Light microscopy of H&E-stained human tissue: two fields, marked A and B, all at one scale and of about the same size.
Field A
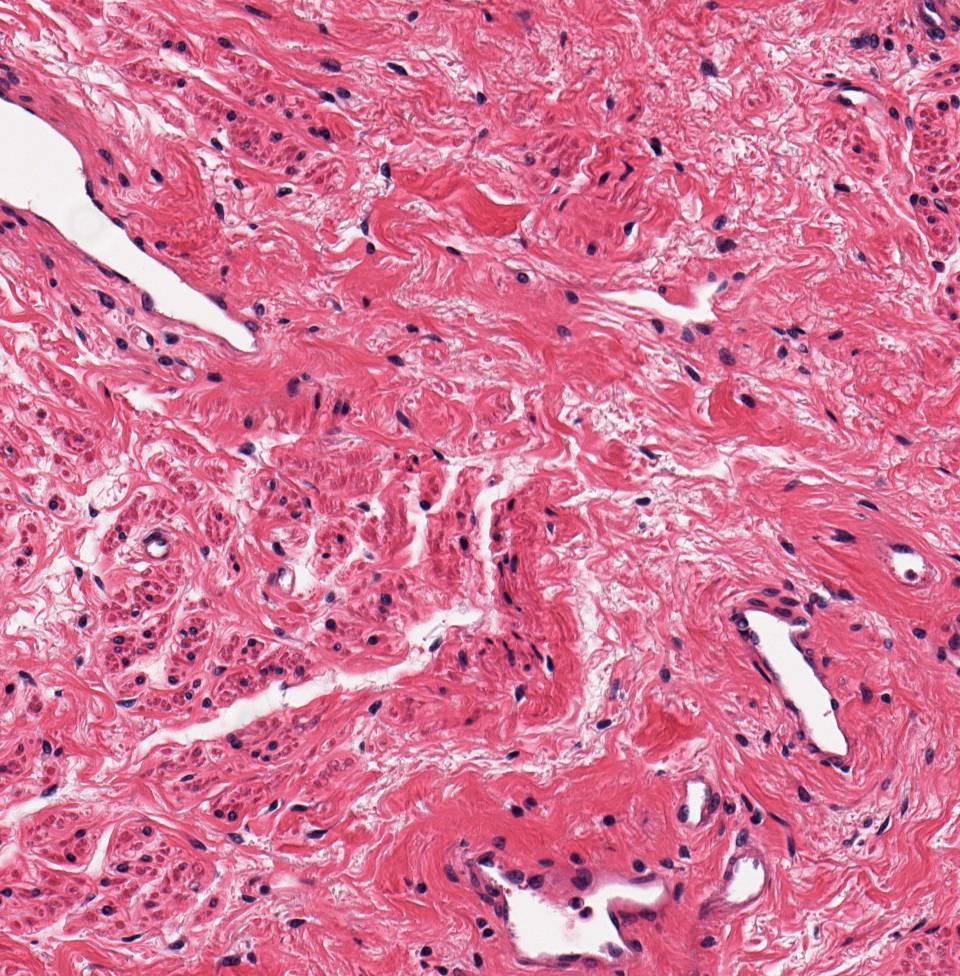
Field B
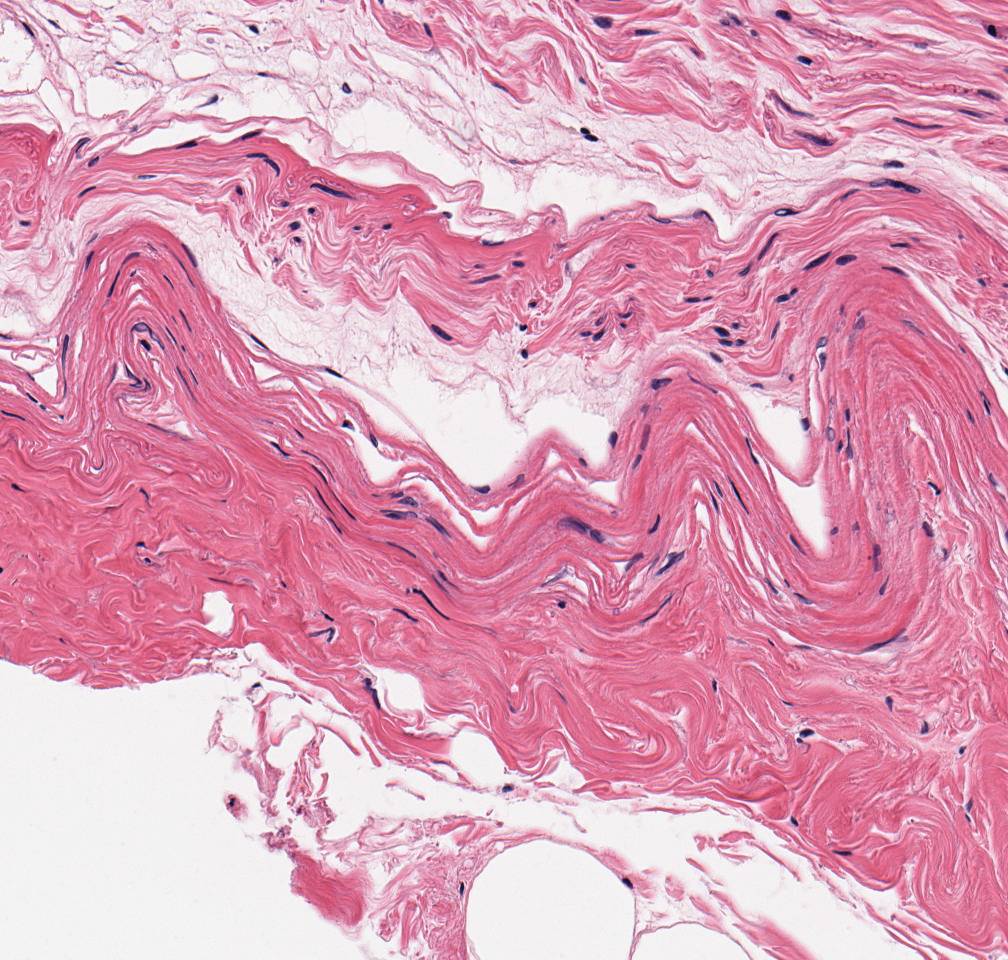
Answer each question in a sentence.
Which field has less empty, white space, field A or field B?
It is field A that stained tissue fills more completely.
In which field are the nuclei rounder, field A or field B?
On the whole the nuclei of field A are rounder than those of field B.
